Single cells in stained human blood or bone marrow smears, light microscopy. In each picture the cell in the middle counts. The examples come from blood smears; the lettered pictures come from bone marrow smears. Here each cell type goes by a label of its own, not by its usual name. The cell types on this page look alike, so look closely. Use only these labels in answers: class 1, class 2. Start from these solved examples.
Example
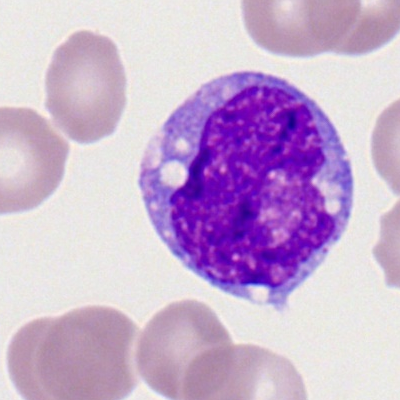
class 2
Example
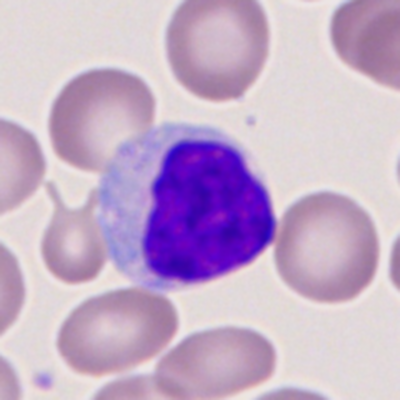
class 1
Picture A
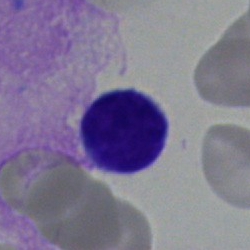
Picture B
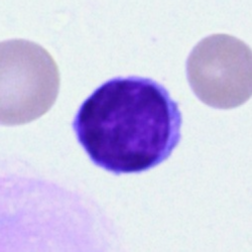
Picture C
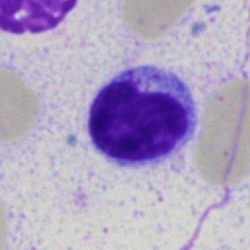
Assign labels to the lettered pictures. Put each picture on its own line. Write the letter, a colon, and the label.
A: class 1
B: class 1
C: class 1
